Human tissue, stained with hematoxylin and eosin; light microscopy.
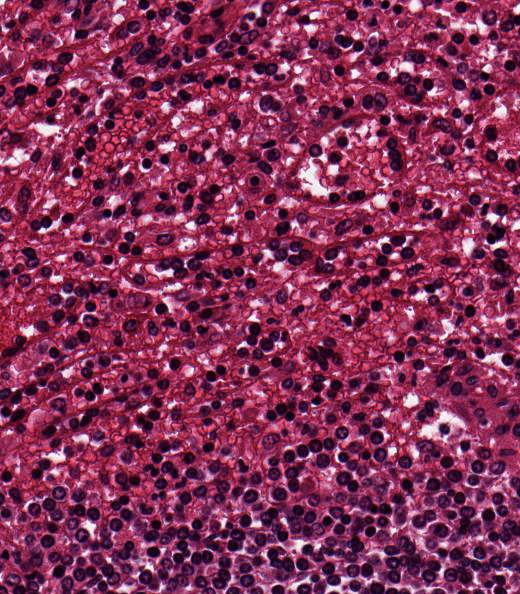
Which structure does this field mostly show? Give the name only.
red pulp of the spleen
